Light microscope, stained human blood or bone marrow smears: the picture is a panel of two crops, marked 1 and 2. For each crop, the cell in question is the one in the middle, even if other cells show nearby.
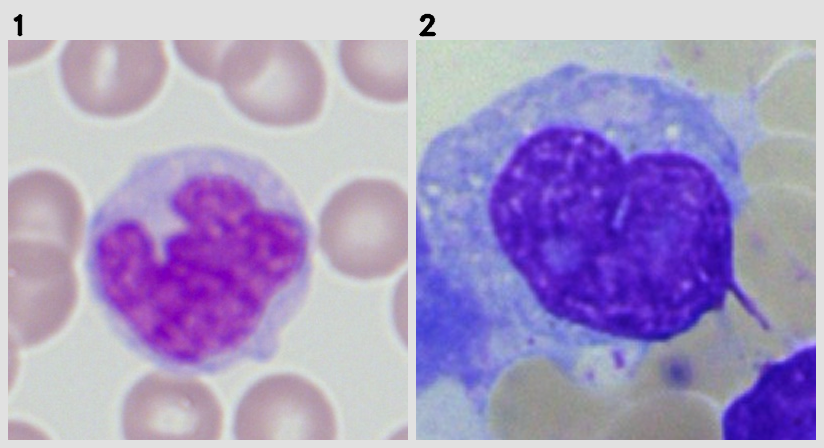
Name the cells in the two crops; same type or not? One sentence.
Yes, as for both crops, the cells shown are monocytes.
